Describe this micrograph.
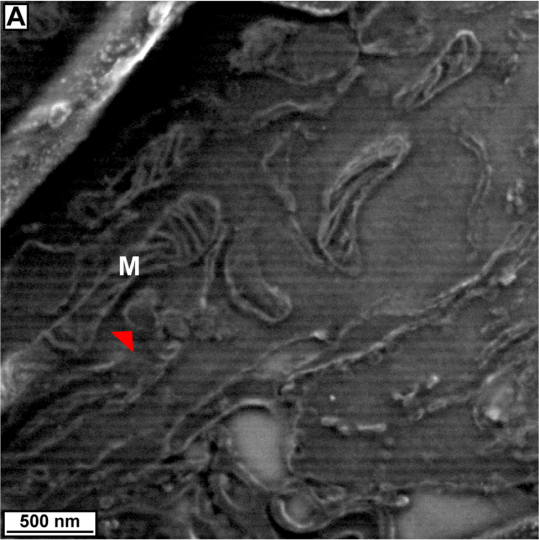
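This is a scanning electron view of cell cytoplasm crowded with membranous organelles. Several elongated mitochondria stand out by their parallel, ladder-like cristae inside a double outline. Between them run many thin membrane profiles and tubules, and small rounded vesicular bodies lie scattered about. Bright, dense material fills the upper left corner and larger pale rounded bodies lie at the bottom.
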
